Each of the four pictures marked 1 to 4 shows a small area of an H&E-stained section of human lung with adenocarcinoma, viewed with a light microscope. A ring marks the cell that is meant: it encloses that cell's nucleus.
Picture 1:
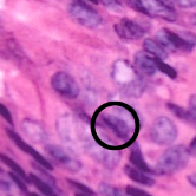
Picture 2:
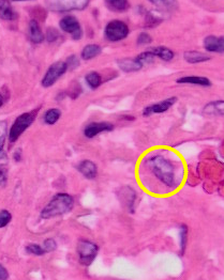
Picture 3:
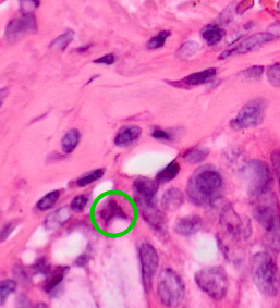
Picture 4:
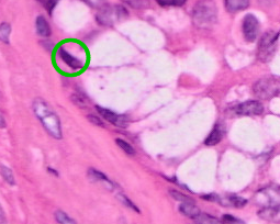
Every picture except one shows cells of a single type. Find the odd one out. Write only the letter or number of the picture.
2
